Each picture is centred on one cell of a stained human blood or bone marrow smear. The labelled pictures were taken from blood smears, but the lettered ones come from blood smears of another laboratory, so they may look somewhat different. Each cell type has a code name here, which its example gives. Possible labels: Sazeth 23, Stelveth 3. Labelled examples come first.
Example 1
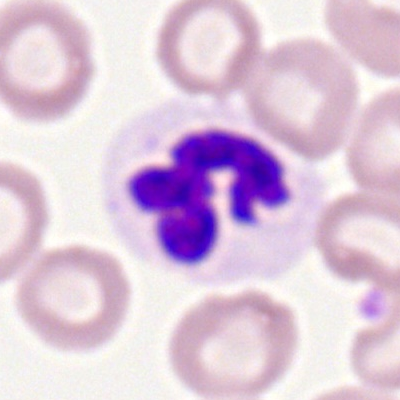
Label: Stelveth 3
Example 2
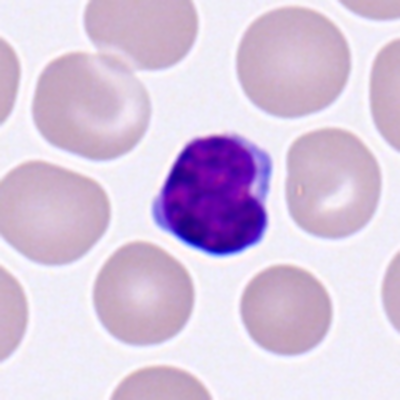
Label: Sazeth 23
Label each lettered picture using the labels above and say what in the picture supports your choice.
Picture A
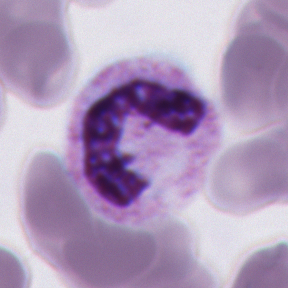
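Stelveth 3: The cytoplasm is plentiful and pale pink.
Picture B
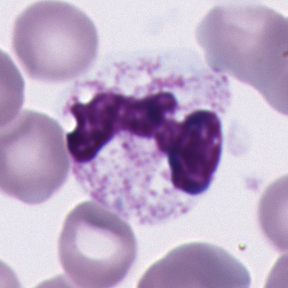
Stelveth 3: The cytoplasm between the granules is very pale, almost colourless.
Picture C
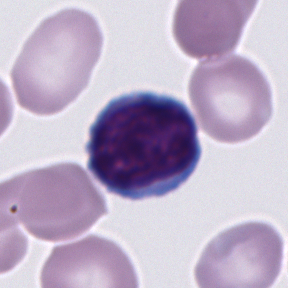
Sazeth 23: The cytoplasm is only a thin rim around the nucleus.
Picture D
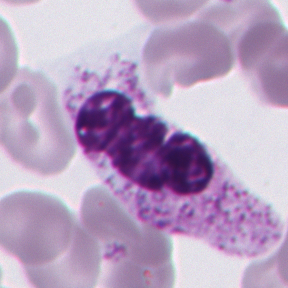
Stelveth 3: The cytoplasm is pale pink.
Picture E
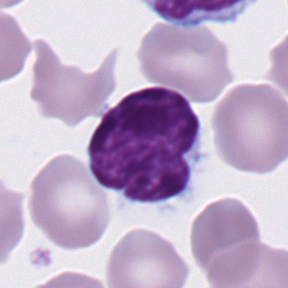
Sazeth 23: The cytoplasm is only a thin pale rim, best seen on the right side.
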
